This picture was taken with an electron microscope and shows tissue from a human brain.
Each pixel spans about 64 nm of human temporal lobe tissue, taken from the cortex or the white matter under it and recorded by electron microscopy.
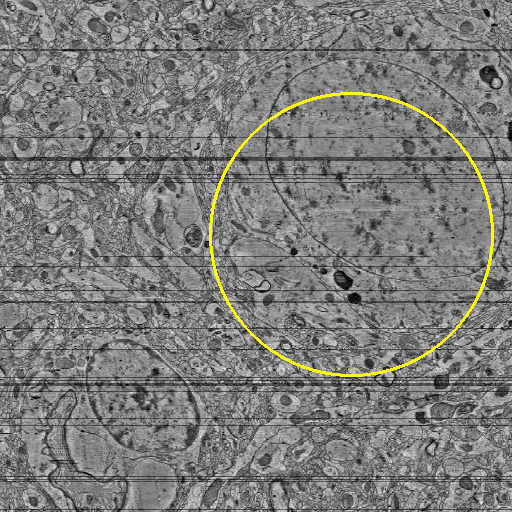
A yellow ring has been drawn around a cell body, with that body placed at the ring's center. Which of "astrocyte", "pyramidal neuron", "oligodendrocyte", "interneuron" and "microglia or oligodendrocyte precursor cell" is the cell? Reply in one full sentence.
In this picture, a pyramidal neuron is the cell at the center of the yellow ring.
